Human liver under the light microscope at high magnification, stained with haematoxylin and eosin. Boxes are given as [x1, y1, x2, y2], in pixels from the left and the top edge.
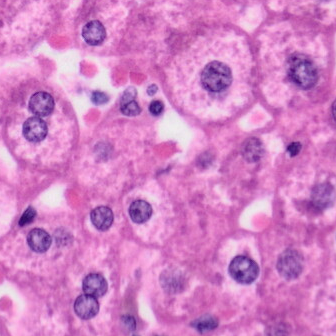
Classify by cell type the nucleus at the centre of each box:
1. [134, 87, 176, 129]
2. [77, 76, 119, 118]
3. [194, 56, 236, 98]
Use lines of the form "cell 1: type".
cell 1: lymphocyte
cell 2: lymphocyte
cell 3: hepatocyte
